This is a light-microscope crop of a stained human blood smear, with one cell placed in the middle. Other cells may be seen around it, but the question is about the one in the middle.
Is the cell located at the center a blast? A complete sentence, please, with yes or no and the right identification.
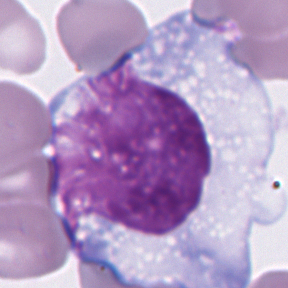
No, the cell in the middle is categorised as a monocyte, not a blast.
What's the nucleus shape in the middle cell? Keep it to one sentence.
The cell carries one compact nucleus shaped round, oval or like a kidney.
